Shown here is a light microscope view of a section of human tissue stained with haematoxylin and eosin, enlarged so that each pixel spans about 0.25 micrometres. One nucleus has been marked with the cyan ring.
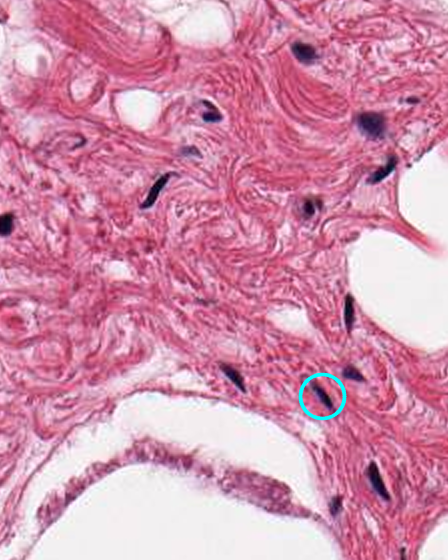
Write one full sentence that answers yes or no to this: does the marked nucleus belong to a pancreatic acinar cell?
No, rather than to a pancreatic acinar cell, the marked nucleus belongs to a supporting cell.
